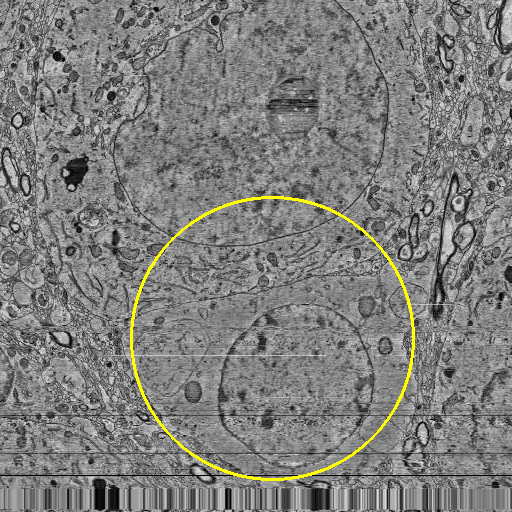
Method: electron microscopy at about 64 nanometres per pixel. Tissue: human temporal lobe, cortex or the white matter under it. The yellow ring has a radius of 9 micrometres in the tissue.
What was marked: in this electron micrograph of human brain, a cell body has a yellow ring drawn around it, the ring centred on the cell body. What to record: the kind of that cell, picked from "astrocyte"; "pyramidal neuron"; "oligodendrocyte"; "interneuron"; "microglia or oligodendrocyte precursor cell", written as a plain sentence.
The centred cell is an astrocyte.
